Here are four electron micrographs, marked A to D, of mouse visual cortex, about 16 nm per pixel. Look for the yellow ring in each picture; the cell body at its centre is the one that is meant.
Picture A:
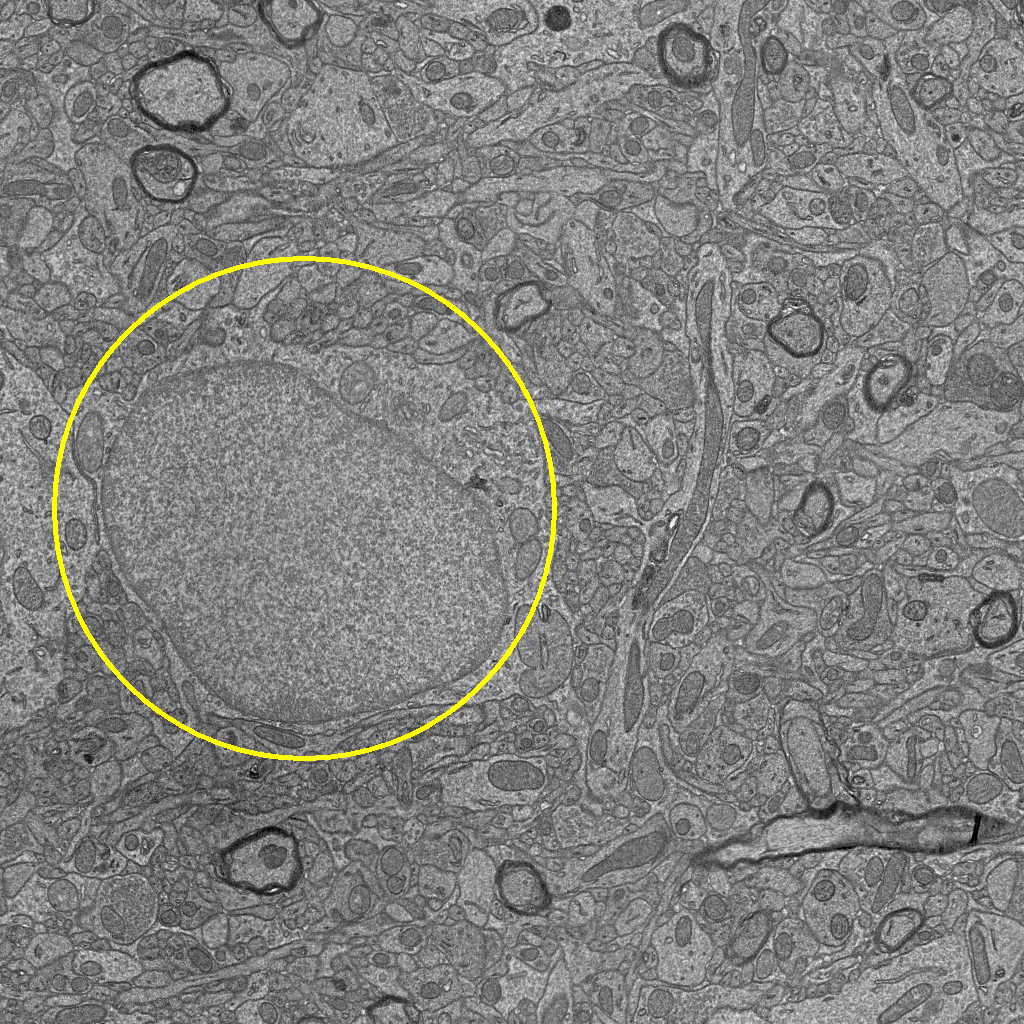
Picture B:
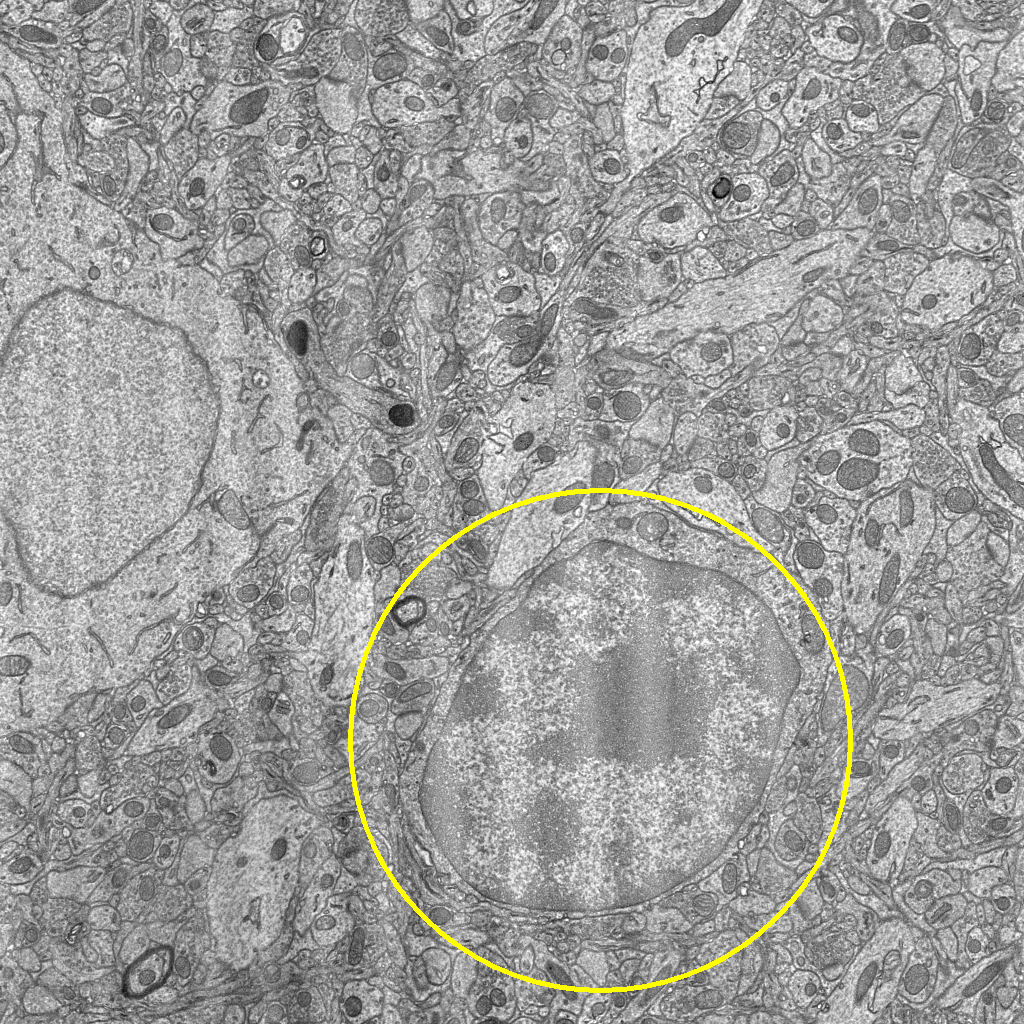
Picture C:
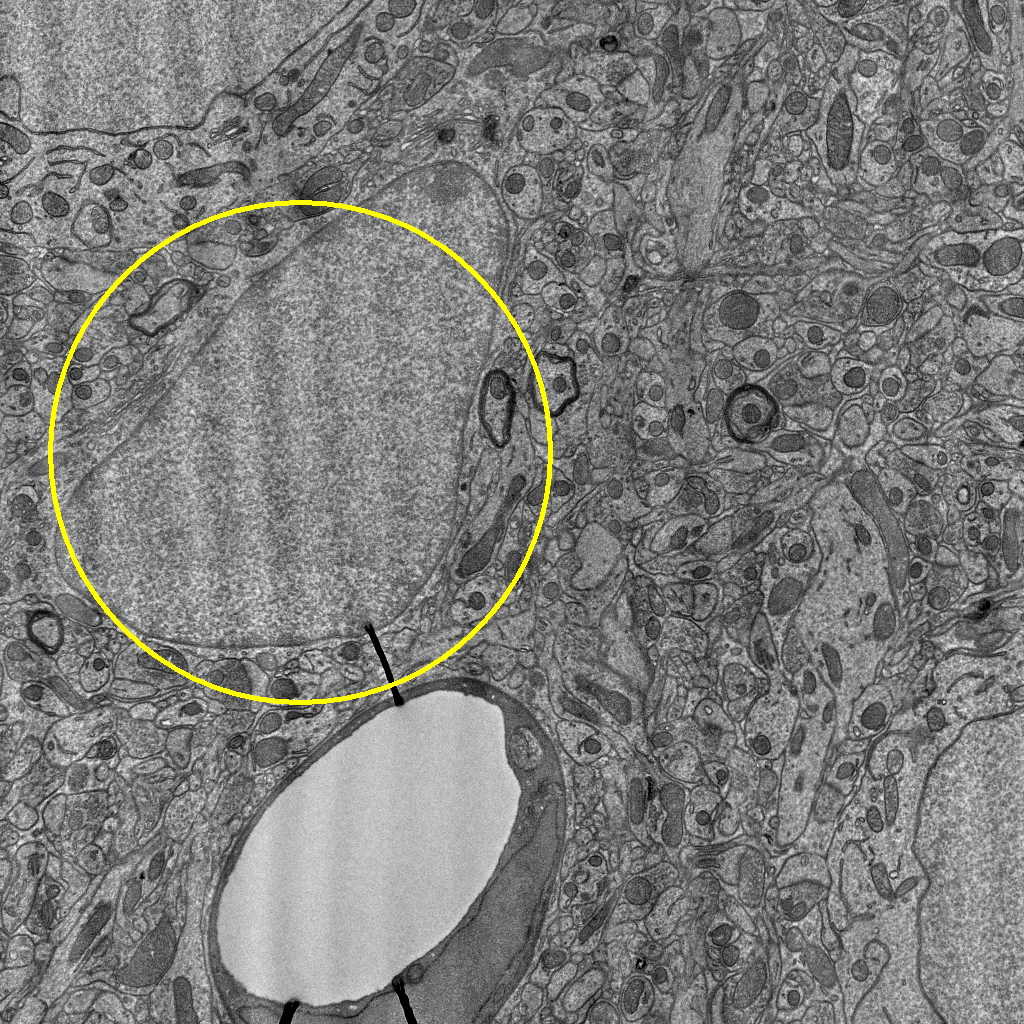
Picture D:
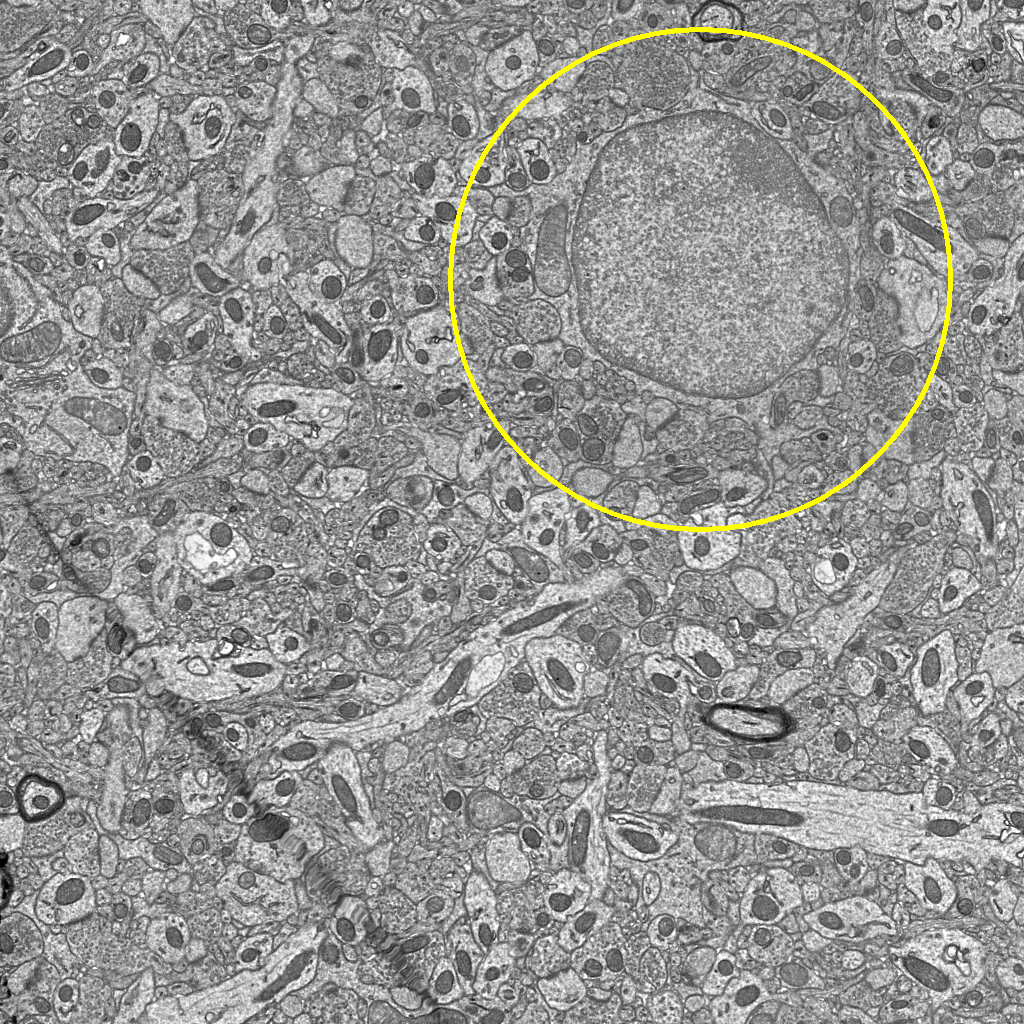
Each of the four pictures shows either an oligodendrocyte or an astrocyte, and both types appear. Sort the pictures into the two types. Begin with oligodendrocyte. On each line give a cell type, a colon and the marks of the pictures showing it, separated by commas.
oligodendrocyte: B
astrocyte: A, C, D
